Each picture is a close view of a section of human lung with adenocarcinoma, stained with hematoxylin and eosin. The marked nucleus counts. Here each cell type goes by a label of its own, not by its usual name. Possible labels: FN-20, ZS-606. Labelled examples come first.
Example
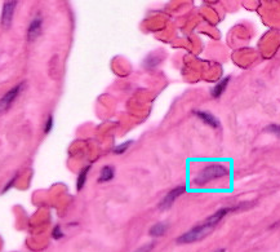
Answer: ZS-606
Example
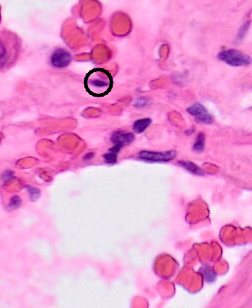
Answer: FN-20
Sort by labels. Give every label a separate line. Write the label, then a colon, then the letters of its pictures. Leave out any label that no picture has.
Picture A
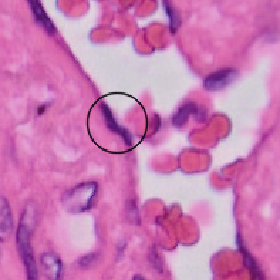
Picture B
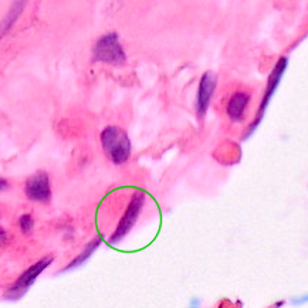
FN-20: A, B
